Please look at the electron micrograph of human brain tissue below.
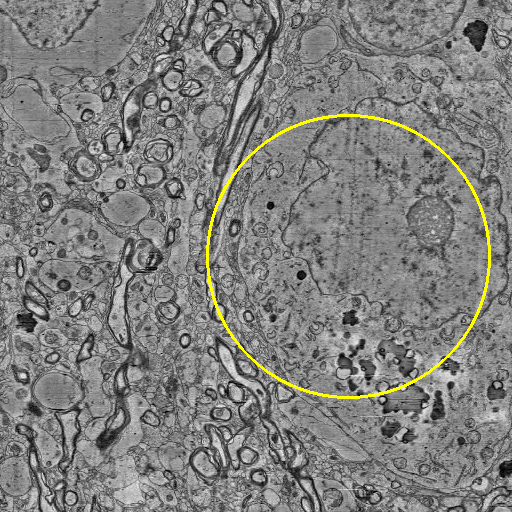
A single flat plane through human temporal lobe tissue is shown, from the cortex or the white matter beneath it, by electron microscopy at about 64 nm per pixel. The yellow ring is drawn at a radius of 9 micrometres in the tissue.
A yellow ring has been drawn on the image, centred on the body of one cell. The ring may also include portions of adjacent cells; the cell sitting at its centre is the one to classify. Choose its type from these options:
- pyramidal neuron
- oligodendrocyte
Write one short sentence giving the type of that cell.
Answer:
The cell in the middle of the ring is a pyramidal neuron.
